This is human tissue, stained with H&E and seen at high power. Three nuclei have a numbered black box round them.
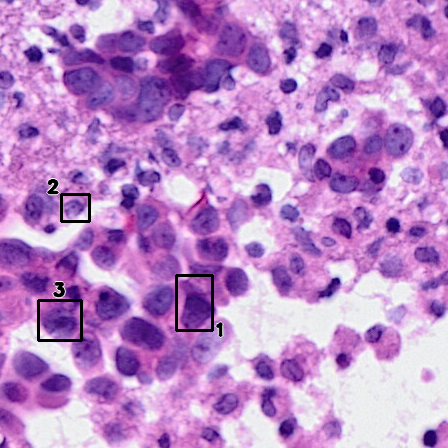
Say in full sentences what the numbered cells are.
Cell 1 is a carcinoma cell, cell 2 is a macrophage or monocyte and cell 3 is a carcinoma cell.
